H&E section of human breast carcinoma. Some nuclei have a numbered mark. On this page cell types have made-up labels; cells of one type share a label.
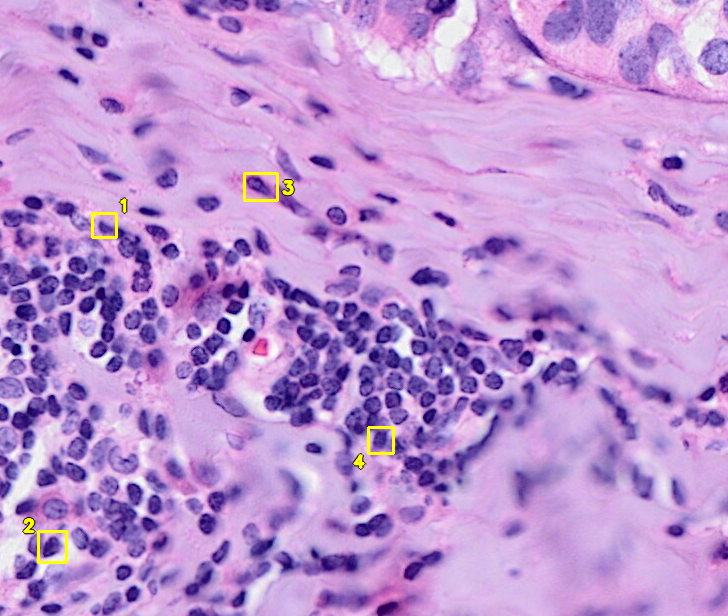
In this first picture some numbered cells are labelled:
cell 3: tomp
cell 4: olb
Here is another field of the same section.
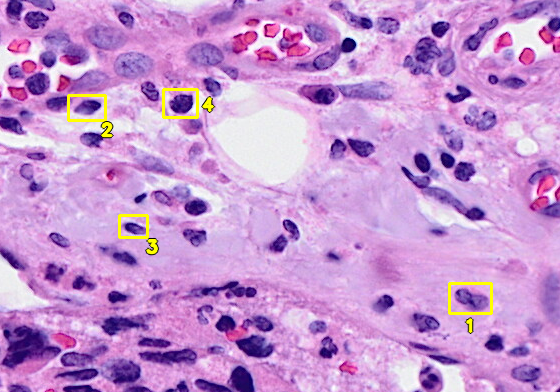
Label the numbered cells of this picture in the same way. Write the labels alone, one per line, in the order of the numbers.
tomp
olb
olb
olb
